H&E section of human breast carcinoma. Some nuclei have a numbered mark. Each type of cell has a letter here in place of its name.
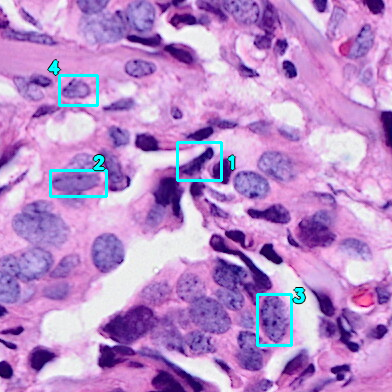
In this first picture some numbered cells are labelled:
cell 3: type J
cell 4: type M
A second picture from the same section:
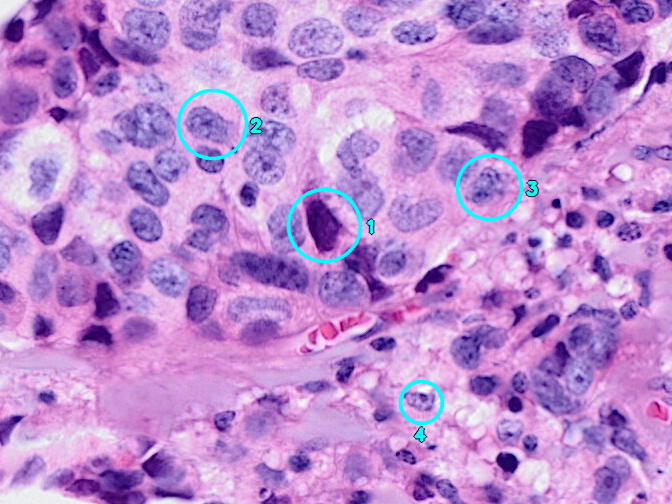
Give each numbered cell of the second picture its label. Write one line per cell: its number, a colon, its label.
1: type J
2: type J
3: type J
4: type M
